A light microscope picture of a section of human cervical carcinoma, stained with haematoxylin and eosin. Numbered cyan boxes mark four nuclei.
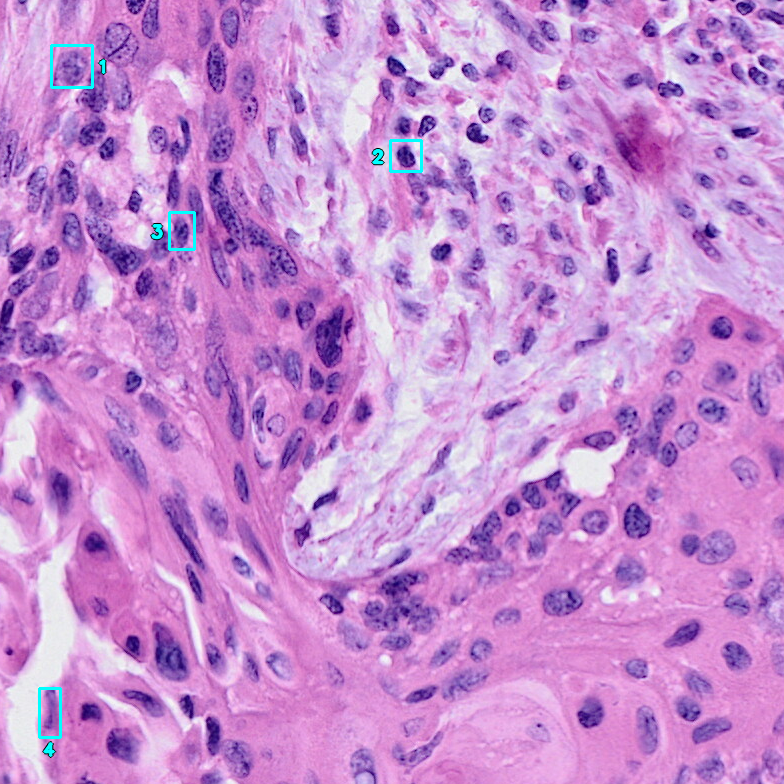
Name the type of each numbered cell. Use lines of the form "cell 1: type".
cell 1: squamous carcinoma cell
cell 2: lymphocyte
cell 3: squamous carcinoma cell
cell 4: squamous carcinoma cell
